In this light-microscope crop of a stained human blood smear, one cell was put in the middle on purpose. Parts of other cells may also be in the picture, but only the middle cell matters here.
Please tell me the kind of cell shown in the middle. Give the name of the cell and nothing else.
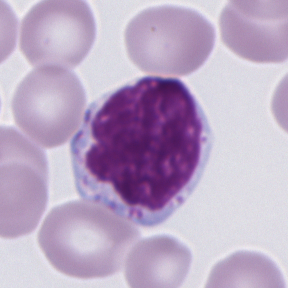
large granular lymphocyte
